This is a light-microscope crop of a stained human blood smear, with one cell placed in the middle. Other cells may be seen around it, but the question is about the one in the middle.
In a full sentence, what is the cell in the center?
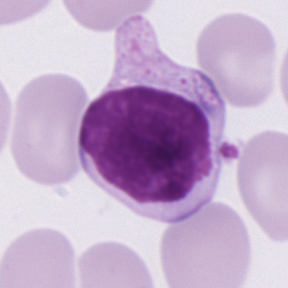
The crop's centre is taken up by a large granular lymphocyte.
